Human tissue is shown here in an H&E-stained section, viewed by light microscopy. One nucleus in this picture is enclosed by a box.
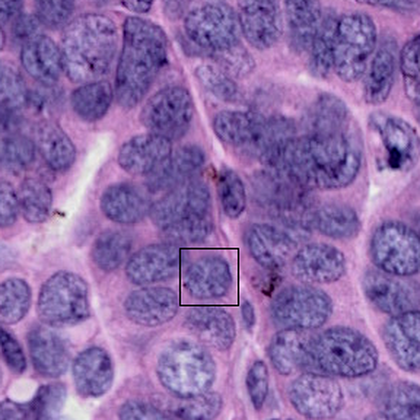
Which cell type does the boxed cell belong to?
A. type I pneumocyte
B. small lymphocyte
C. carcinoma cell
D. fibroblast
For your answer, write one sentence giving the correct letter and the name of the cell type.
It is option C that correctly calls the boxed cell a carcinoma cell.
